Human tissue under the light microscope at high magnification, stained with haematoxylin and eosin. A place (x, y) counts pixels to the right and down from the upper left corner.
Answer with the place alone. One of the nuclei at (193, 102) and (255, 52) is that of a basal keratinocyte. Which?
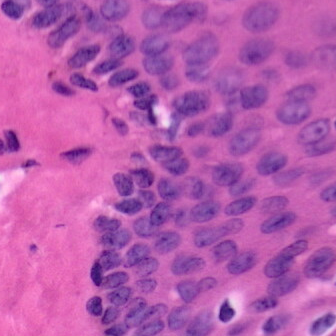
(193, 102)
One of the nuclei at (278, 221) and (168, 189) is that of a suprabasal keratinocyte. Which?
(278, 221)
